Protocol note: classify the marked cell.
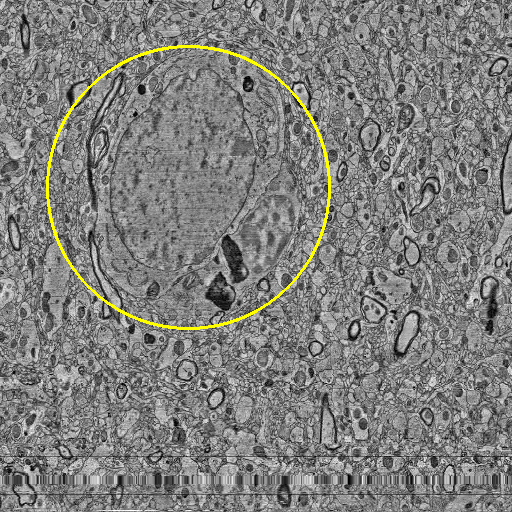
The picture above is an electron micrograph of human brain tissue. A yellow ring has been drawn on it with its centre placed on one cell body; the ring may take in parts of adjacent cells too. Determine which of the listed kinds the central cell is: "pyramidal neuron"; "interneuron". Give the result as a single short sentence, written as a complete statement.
The central cell is an interneuron.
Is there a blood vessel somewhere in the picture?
No, there is no blood vessel.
